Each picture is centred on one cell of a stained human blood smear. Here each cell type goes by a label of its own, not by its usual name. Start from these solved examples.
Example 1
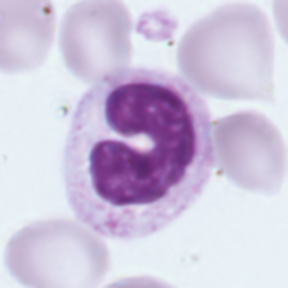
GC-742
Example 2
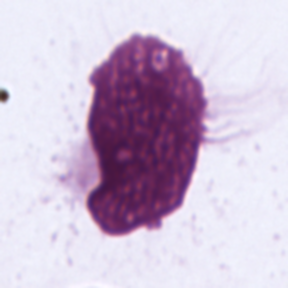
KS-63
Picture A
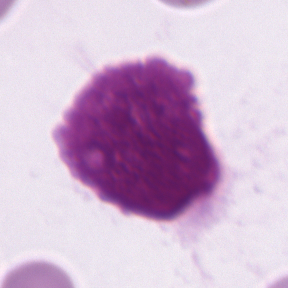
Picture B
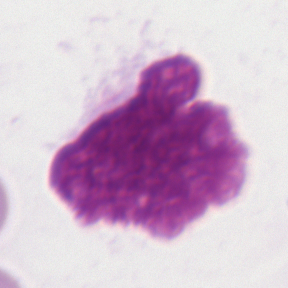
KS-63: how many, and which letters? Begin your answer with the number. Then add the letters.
Count: 2 (A, B)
